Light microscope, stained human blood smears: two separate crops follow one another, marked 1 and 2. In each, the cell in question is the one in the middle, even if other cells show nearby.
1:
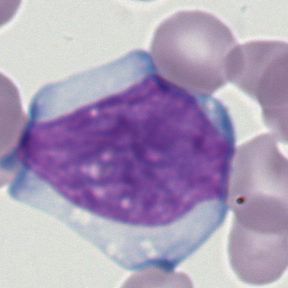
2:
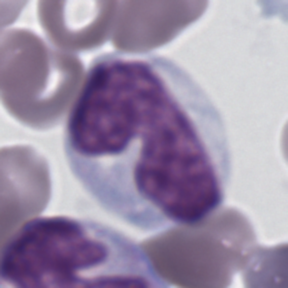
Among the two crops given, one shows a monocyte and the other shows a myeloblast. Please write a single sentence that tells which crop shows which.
Found in crop 1 is a myeloblast; found in crop 2 is a monocyte.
